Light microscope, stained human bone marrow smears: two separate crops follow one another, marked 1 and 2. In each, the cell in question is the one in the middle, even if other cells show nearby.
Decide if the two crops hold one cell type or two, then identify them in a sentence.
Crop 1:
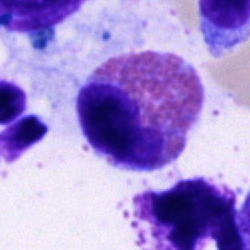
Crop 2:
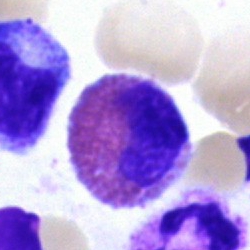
Yes, the two cells in the two crops are eosinophils.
